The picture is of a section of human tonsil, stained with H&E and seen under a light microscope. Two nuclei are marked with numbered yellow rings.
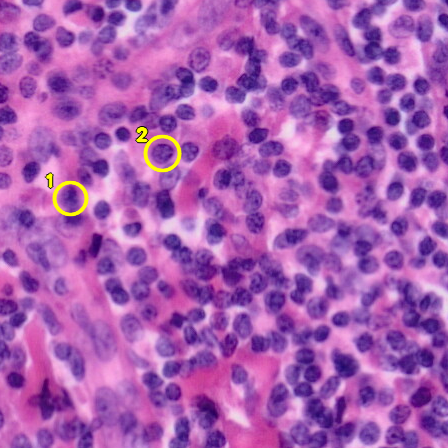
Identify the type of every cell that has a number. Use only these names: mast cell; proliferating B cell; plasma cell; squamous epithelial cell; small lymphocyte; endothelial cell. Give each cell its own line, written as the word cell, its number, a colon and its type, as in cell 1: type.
cell 1: endothelial cell
cell 2: plasma cell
